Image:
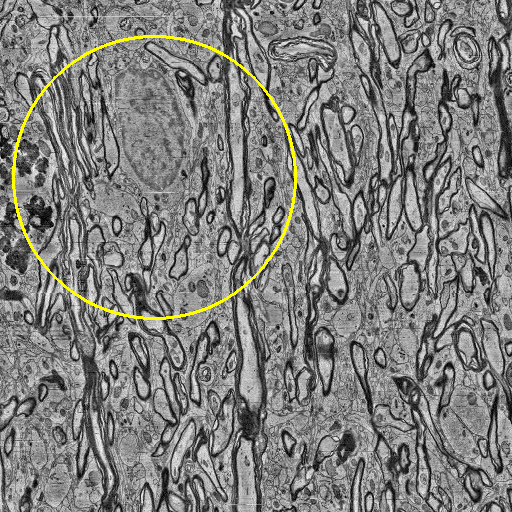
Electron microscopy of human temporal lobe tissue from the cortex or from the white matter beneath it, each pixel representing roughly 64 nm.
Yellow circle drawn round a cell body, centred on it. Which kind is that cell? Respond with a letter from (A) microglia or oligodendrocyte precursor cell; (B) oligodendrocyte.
B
